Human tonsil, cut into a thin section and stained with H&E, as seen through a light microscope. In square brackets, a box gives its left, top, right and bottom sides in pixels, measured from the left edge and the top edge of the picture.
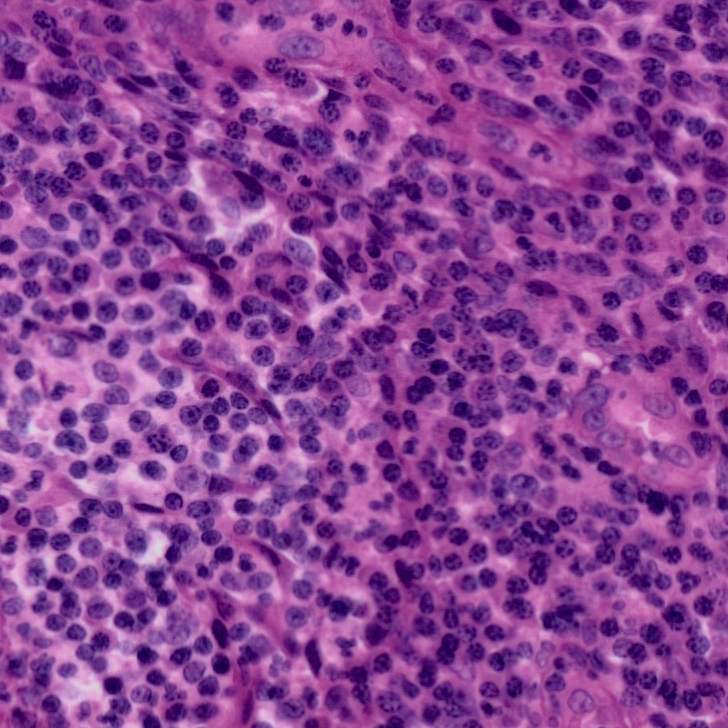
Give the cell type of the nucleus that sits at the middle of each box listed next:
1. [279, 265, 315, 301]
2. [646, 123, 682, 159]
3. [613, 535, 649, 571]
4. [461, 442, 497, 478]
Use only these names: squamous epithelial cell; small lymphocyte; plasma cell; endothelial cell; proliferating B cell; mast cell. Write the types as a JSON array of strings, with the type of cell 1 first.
["plasma cell", "squamous epithelial cell", "plasma cell", "plasma cell"]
